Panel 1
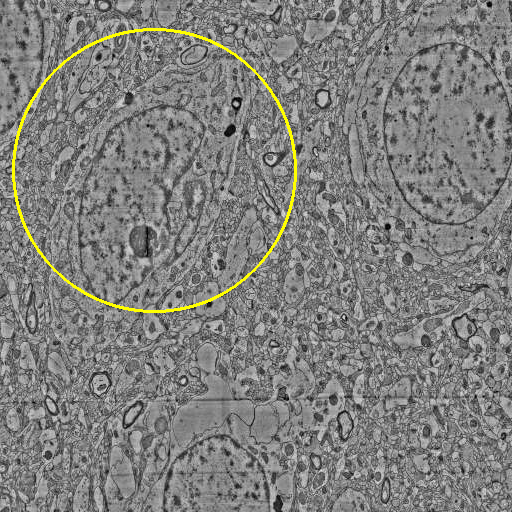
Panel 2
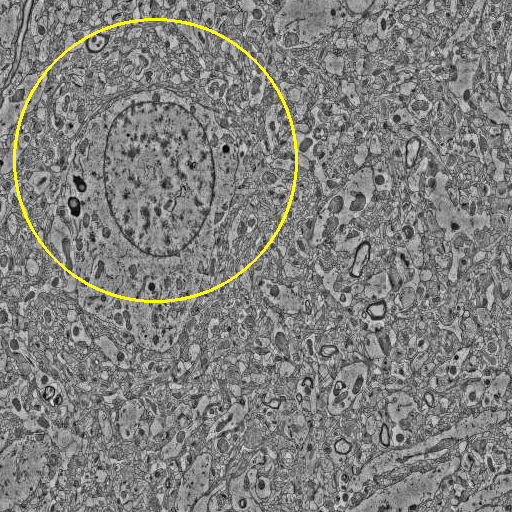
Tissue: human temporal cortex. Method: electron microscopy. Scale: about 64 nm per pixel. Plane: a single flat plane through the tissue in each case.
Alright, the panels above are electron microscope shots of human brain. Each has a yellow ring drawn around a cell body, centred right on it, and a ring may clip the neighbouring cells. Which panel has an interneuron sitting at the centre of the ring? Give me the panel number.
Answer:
1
